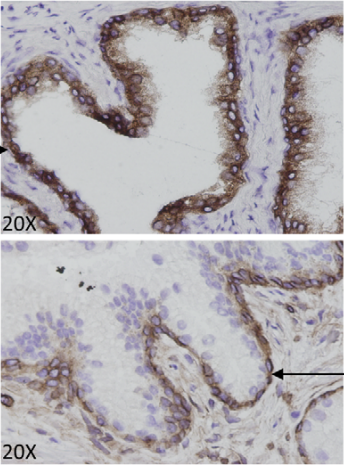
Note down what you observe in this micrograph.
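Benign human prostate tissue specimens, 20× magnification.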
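In the upper image brown membrane staining outlines essentially all the epithelial cells lining the glands, giving a continuous brown band along the whole thickness of the epithelium, while the stroma stays unstained. The lining thus shows two layers, a basal layer beneath a layer of cells facing the lumen.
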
